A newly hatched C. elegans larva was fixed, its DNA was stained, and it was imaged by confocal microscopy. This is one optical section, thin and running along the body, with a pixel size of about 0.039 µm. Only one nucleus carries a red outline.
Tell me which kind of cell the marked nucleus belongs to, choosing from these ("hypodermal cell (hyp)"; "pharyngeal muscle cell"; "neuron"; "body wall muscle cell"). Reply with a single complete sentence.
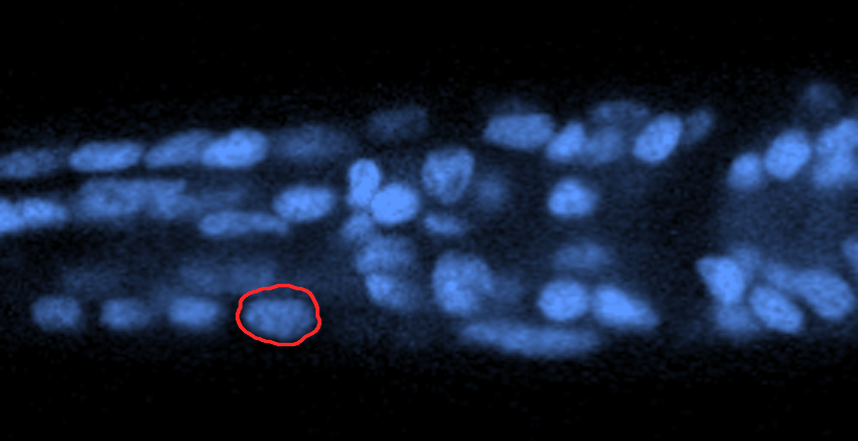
This nucleus is from a body wall muscle cell.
